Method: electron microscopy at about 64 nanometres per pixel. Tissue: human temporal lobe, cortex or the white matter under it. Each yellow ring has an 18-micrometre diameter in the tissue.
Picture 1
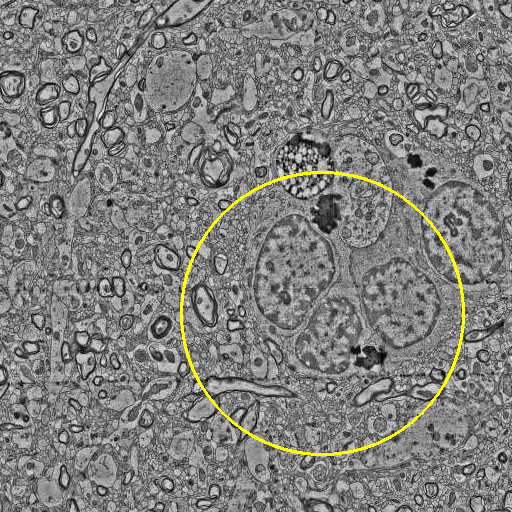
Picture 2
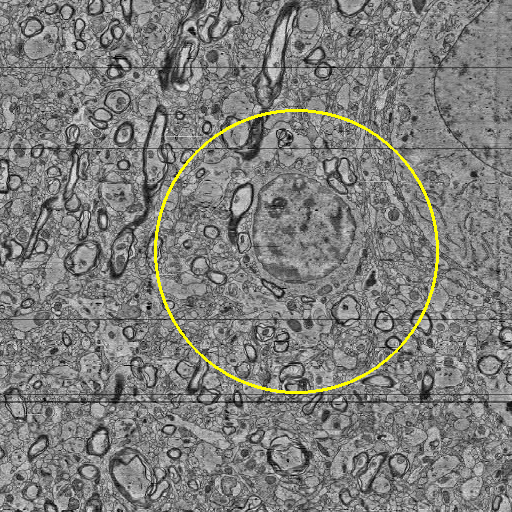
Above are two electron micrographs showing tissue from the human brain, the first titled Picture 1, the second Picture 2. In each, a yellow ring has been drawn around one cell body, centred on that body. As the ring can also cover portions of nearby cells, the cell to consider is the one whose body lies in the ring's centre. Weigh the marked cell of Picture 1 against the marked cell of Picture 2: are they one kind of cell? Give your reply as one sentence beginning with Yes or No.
Yes, the two cells sitting at the ring centres in the pictures are of one kind.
